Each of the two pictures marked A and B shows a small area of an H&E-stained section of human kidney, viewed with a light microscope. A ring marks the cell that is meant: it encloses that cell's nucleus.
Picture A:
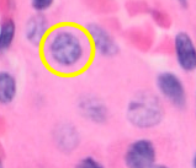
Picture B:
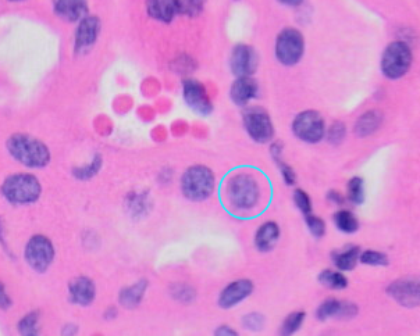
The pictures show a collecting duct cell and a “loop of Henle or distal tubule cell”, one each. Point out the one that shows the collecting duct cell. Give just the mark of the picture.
B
